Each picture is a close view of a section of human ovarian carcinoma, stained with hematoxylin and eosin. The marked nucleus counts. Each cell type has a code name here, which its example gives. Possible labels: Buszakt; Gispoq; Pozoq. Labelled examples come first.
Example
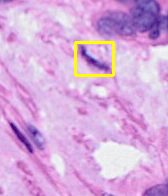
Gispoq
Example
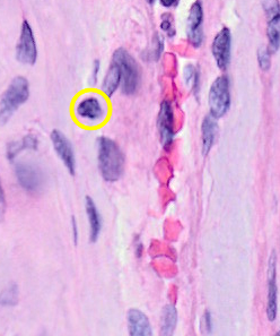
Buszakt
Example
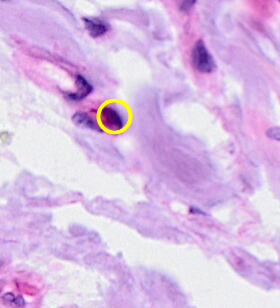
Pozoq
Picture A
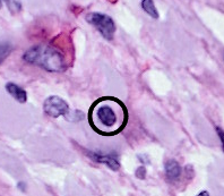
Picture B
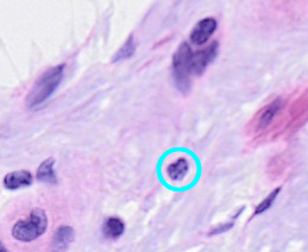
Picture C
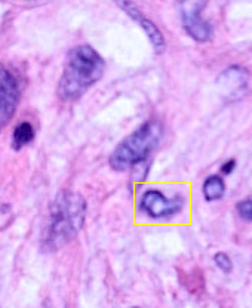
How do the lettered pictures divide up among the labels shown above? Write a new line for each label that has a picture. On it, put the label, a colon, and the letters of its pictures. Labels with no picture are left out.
Buszakt: A, B
Gispoq: C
